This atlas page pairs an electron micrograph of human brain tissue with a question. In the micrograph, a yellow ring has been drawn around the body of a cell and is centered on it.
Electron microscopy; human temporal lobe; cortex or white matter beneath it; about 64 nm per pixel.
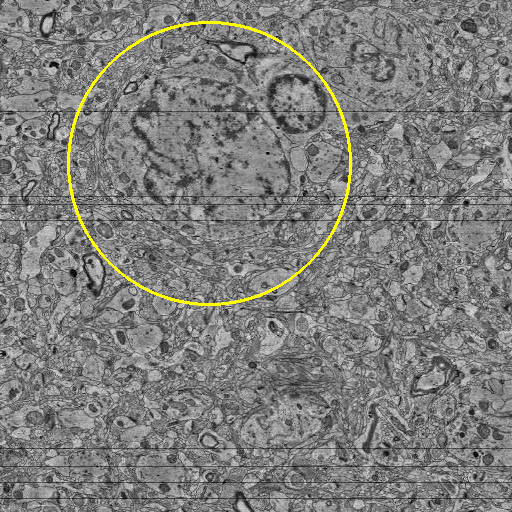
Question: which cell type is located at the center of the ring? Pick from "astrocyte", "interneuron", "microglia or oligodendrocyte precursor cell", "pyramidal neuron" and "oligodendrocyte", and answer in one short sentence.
Located at the center of the ring is an interneuron.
